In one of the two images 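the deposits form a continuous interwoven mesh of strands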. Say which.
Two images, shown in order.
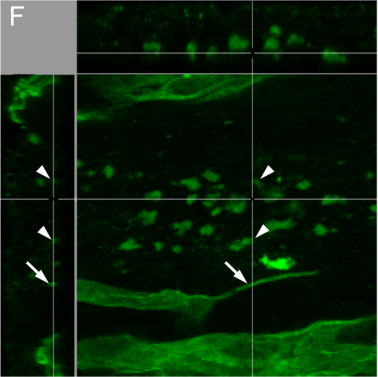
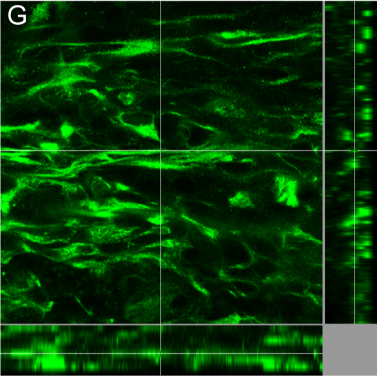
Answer: the second image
